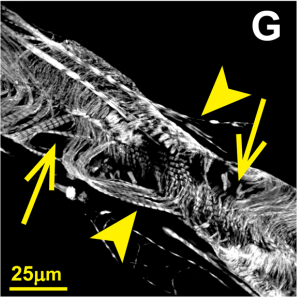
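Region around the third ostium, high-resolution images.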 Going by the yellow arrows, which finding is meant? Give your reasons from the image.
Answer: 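Disorganized myofibrils. Near the arrows, fibres are fragmented and tangled. Regular parallel striated bands are largely missing.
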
